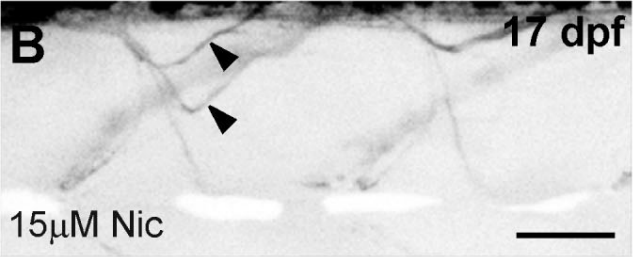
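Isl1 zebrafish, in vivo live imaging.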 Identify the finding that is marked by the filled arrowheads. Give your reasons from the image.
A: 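At the filled arrowheads two thin dark lines run side by side where one would be expected.
Duplicated axonal trajectory.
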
